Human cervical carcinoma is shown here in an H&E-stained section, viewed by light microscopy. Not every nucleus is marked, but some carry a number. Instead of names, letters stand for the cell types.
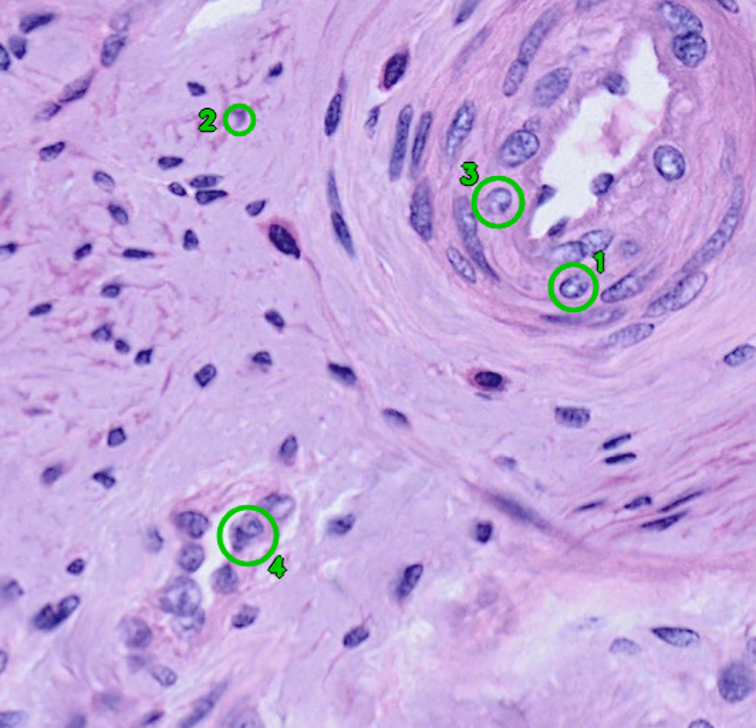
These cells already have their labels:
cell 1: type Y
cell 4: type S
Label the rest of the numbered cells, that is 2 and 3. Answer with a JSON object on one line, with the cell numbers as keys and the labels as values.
{"2": "type Y", "3": "type Y"}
